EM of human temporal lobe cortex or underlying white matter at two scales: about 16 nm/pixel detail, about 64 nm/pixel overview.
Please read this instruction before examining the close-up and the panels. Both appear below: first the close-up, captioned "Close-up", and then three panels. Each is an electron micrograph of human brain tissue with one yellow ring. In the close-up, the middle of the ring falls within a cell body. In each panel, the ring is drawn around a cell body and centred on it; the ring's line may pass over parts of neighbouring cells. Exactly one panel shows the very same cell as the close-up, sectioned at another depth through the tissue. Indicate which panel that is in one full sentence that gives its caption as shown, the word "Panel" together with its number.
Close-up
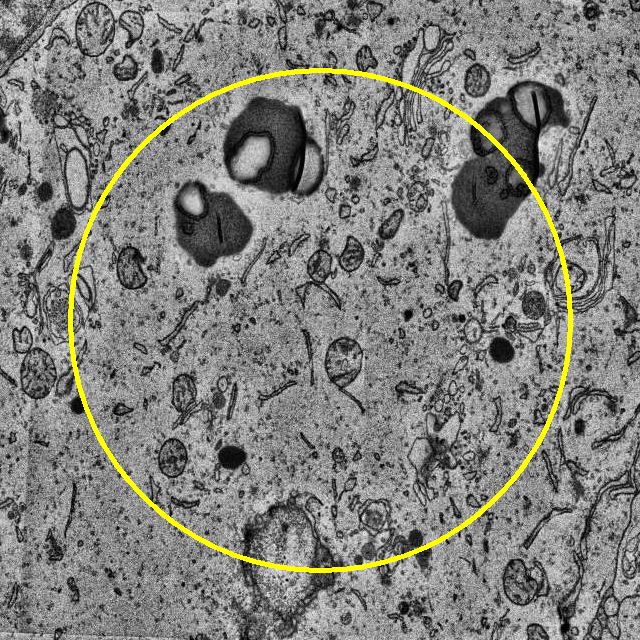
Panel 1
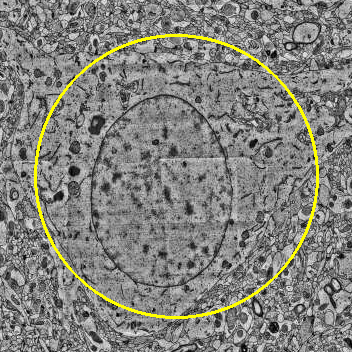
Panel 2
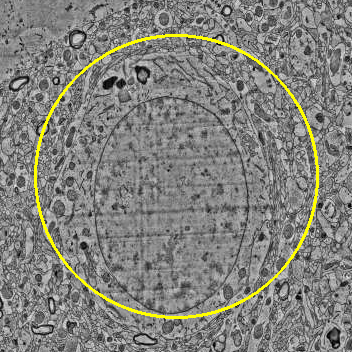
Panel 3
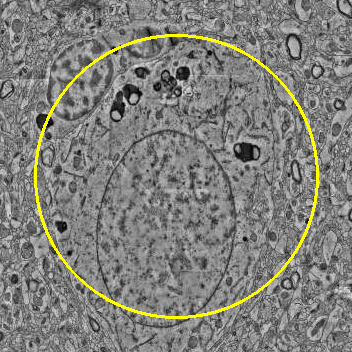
The ringed cell whose close-up is shown lies in Panel 3.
